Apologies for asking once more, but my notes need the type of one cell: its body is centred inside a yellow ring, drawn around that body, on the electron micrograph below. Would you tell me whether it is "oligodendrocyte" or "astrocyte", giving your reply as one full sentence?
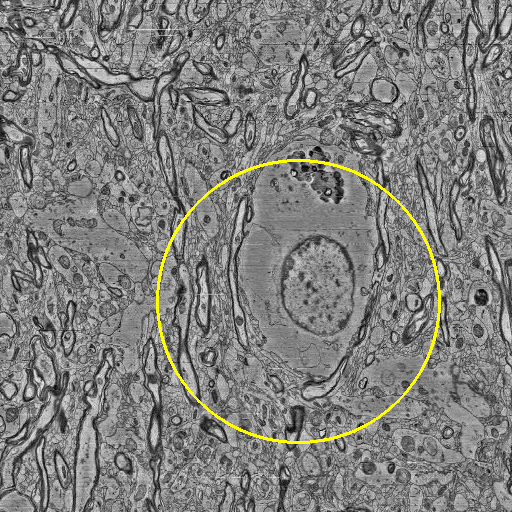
The cell that the yellow ring is centred on is an astrocyte in this micrograph.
